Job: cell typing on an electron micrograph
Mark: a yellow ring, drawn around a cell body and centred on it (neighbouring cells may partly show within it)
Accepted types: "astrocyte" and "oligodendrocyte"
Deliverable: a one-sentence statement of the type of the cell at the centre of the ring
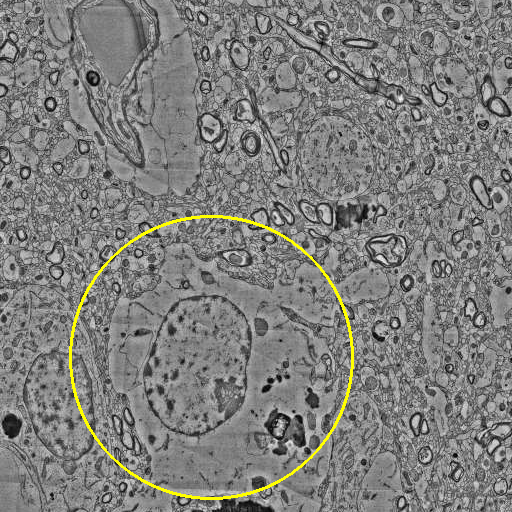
The centred cell body is that of an astrocyte.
